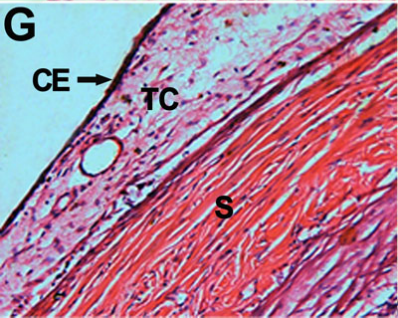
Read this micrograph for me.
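A thin dark line of epithelium covers the upper left surface. Under it is a pale pink, loosely textured layer containing numerous scattered dark, spindle-shaped nuclei and a round open vessel lumen. Below and to the right, this layer lies directly against thick, parallel, intensely pink fibre bundles running diagonally, with no space between the two. The picture shows conjunctival epithelium over a Tenon's capsule thickened by many fibroblasts and new collagen, fused to the underlying sclera.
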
